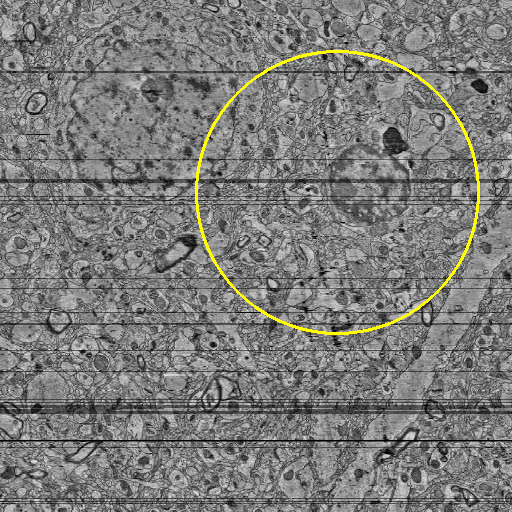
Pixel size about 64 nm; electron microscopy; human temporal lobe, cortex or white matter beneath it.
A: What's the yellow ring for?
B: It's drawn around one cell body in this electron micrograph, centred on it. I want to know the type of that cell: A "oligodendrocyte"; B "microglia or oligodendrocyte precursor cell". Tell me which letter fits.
A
